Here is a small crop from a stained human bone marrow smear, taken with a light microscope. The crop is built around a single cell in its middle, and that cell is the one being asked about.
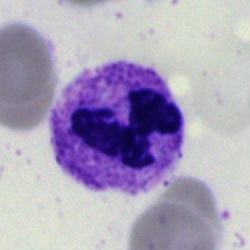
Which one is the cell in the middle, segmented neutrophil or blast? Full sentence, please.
As for the central cell, it is a segmented neutrophil.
